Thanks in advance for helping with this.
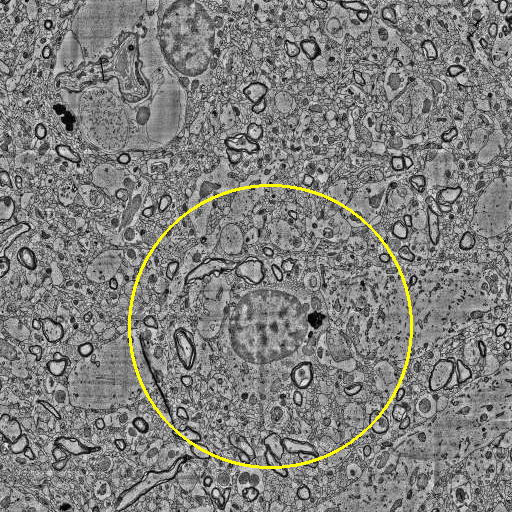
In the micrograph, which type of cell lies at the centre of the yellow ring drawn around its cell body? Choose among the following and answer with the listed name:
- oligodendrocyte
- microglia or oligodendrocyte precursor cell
oligodendrocyte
